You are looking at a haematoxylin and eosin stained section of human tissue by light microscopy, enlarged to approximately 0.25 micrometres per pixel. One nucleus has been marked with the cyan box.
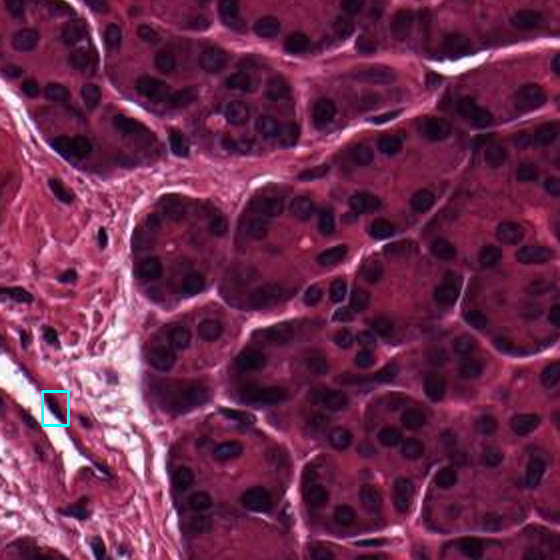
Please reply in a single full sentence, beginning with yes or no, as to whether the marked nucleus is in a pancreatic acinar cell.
No, the marked nucleus is contained in a supporting cell and not in a pancreatic acinar cell.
